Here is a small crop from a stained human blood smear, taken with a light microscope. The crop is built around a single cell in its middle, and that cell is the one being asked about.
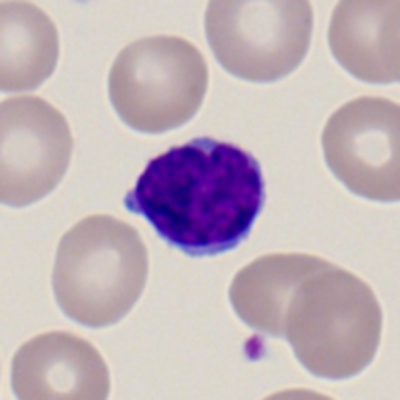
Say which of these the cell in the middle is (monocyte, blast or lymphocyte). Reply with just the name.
lymphocyte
